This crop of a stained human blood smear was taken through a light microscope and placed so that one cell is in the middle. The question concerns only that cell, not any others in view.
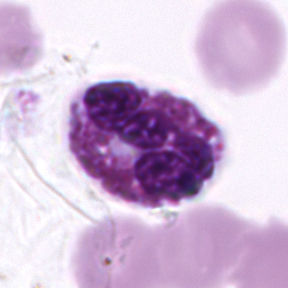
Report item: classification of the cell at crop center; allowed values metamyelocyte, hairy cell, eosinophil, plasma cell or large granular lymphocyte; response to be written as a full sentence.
In the centre of this crop there is an eosinophil.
